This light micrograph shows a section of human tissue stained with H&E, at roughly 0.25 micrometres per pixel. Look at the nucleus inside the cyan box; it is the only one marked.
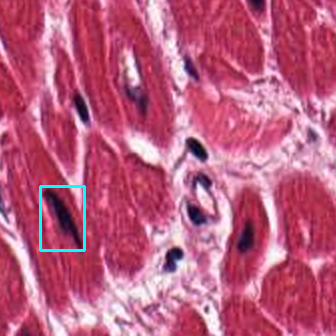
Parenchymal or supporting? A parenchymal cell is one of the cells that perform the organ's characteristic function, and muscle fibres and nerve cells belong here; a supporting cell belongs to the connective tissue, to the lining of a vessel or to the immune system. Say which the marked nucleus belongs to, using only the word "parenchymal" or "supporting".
parenchymal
